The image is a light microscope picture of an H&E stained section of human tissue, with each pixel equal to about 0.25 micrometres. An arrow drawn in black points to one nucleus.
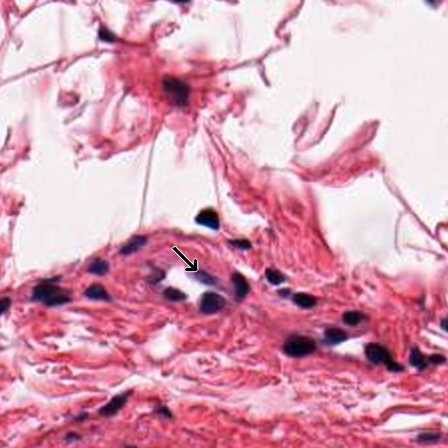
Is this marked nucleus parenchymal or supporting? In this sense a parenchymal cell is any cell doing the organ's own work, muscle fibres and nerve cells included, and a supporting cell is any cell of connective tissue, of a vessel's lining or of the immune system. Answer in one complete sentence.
It is to a supporting cell that the marked nucleus is assigned.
